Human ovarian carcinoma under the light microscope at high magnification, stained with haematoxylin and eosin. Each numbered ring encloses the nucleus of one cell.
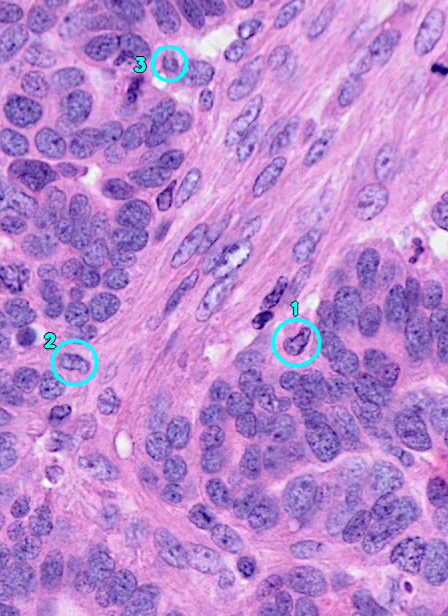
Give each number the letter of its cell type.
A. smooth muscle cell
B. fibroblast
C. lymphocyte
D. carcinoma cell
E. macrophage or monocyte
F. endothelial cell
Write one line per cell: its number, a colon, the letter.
1: E
2: B
3: E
